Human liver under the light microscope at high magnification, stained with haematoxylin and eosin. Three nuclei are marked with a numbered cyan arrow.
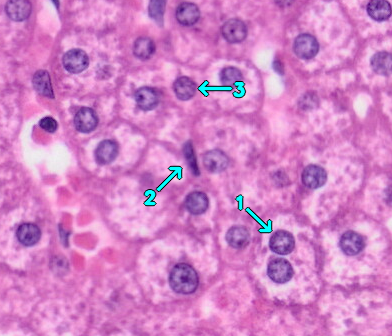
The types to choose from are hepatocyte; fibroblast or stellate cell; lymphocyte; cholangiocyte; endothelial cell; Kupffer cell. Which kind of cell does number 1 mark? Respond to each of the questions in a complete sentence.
The cell marked with number 1 is a hepatocyte.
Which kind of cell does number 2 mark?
Number 2 is placed on a fibroblast or stellate cell here.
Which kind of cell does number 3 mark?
Identified by the number 3, the cell is a hepatocyte.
